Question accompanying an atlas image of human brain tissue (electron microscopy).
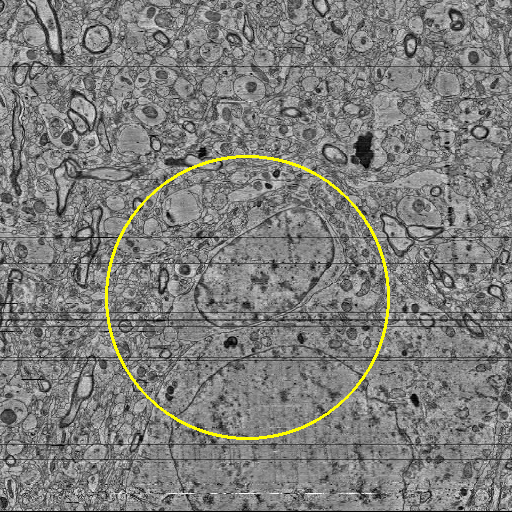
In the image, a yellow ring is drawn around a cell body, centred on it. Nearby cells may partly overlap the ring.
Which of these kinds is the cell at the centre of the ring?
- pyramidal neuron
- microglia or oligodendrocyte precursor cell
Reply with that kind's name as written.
microglia or oligodendrocyte precursor cell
